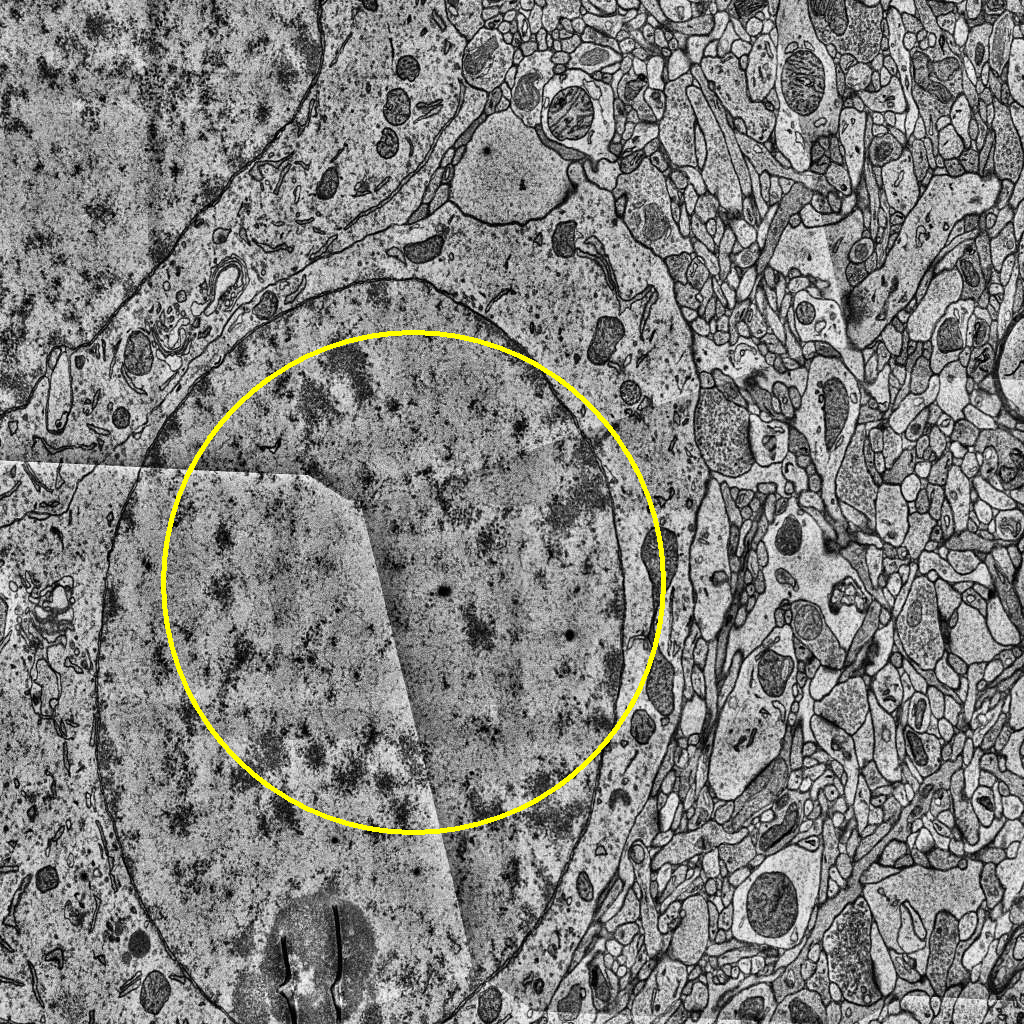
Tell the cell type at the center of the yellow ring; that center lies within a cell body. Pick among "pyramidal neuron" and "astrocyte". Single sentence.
The ring's center lies in the body of a pyramidal neuron.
